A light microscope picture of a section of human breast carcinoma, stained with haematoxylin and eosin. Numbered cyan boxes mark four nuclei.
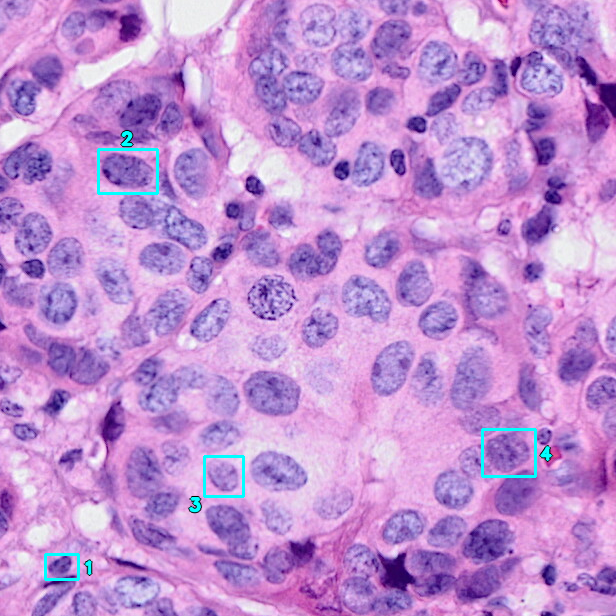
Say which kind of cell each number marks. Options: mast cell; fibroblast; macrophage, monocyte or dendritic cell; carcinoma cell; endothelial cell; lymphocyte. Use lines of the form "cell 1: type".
cell 1: lymphocyte
cell 2: carcinoma cell
cell 3: carcinoma cell
cell 4: carcinoma cell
